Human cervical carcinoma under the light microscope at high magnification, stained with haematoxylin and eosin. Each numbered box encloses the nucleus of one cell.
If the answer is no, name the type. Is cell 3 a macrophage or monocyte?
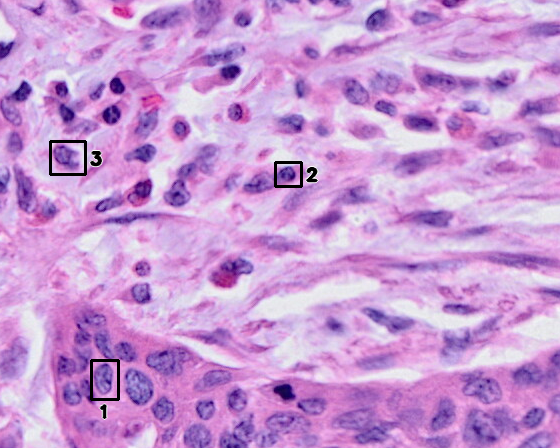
Yes.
